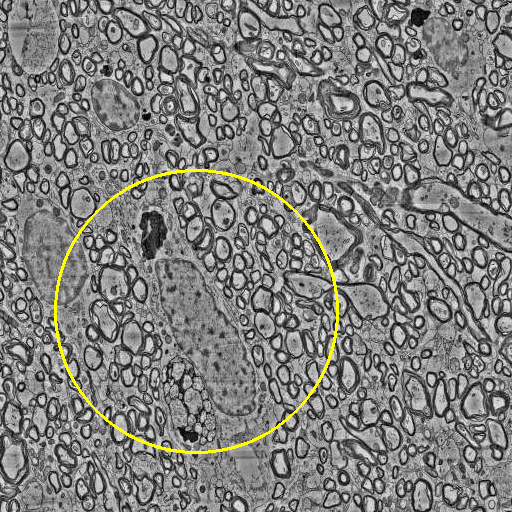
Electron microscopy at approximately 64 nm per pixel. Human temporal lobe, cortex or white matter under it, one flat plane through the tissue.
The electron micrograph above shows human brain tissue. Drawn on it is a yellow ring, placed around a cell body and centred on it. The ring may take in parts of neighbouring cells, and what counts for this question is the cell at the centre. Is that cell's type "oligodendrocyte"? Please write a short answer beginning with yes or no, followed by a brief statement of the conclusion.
No, its type is another one.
